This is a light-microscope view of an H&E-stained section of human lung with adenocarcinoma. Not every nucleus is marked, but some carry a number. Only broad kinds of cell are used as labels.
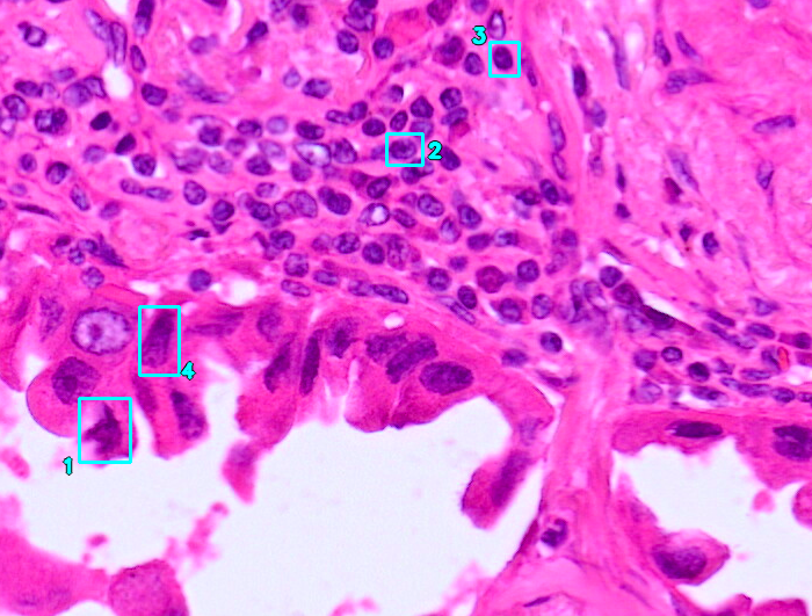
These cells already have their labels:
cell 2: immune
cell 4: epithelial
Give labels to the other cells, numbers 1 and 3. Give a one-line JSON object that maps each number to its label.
{"1": "epithelial", "3": "immune"}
